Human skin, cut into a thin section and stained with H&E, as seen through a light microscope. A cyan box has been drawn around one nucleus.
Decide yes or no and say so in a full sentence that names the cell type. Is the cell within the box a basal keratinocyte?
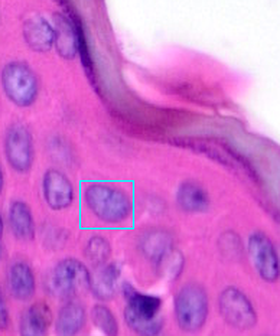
No, a basal keratinocyte is not what the cell within the box is; it is a suprabasal keratinocyte.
